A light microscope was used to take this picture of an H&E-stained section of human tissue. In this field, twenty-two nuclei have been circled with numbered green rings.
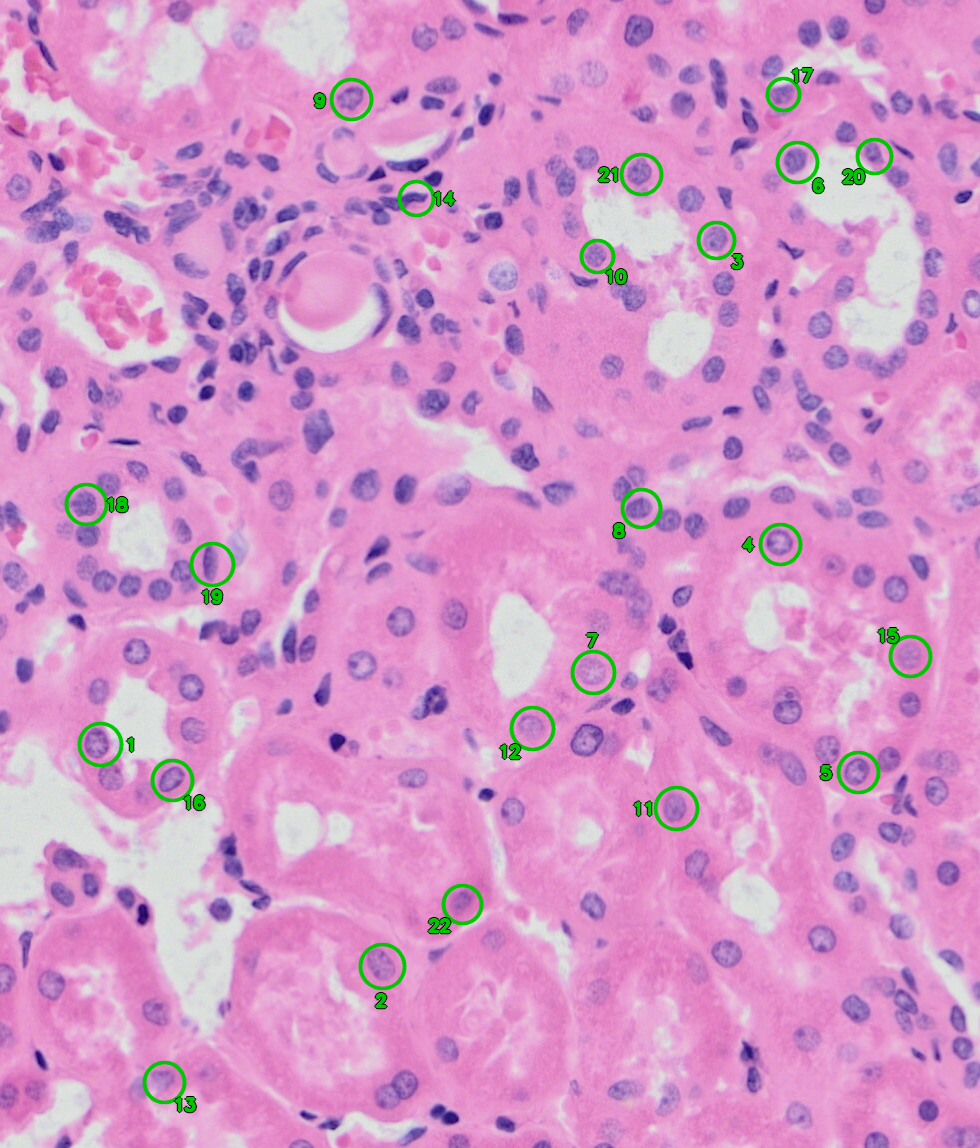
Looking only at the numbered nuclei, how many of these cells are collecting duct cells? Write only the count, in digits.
3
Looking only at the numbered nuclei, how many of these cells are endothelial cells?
1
